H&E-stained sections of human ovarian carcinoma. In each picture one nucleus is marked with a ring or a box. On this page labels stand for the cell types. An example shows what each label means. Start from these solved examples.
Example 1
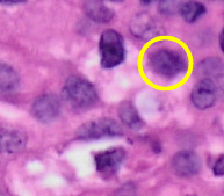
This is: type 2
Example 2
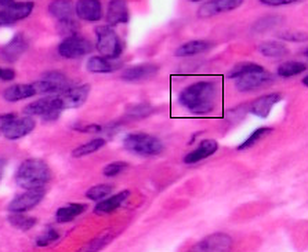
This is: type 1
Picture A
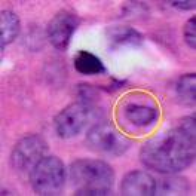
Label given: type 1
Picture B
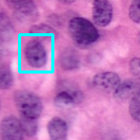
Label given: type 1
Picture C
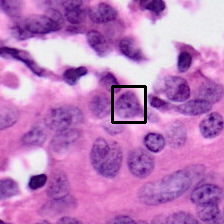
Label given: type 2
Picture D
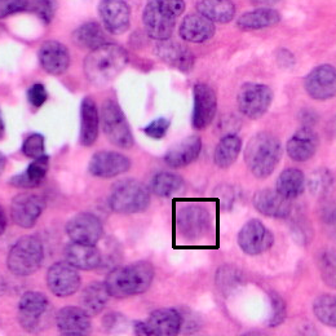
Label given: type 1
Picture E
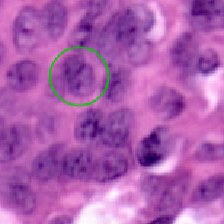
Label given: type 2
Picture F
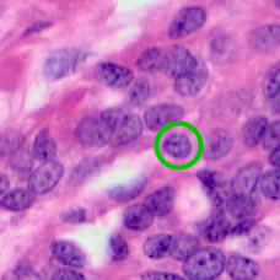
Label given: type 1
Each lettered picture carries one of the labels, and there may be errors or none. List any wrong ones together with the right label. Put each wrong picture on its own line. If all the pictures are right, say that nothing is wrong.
D: not type 1 but type 2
